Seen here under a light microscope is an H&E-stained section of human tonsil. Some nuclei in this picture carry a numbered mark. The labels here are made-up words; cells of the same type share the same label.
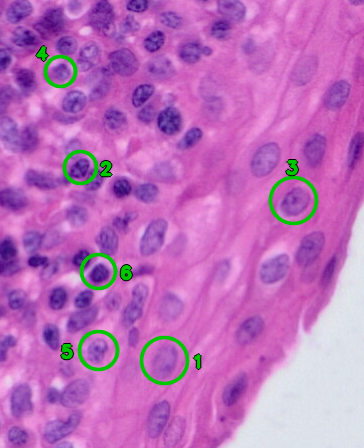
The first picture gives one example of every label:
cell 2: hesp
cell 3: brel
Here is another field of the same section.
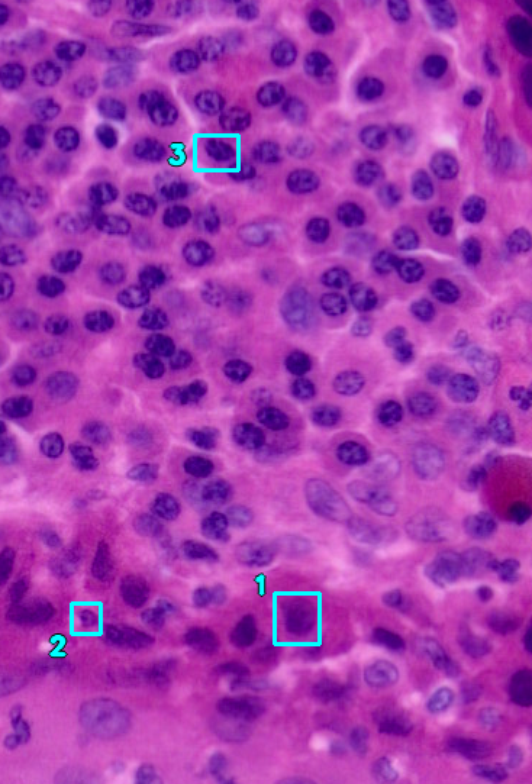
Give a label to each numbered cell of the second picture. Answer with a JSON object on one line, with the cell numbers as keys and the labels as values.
{"1": "brel", "2": "brel", "3": "hesp"}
